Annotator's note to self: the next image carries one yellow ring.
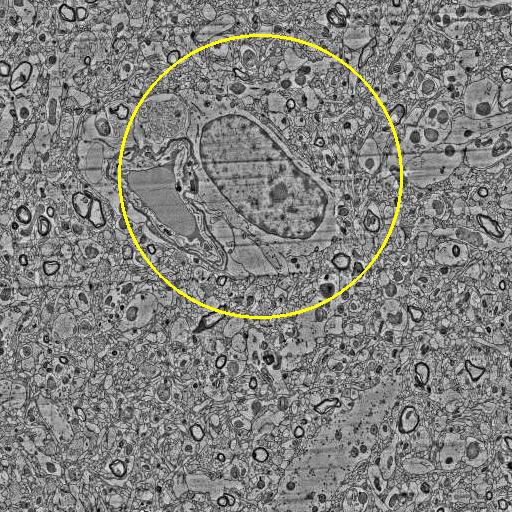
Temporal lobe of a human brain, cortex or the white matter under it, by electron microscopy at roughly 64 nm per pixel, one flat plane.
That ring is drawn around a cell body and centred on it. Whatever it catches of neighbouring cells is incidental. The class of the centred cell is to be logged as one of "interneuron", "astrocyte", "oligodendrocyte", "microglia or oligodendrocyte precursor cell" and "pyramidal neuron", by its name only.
microglia or oligodendrocyte precursor cell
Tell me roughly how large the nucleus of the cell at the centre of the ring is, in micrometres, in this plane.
In this plane the nucleus measures about 10 by 5 micrometres and is clearly longer than it is wide.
